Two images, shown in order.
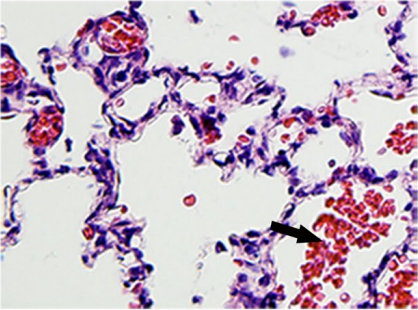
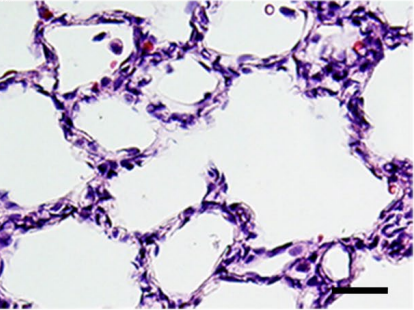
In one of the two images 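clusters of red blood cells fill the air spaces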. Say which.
the first image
